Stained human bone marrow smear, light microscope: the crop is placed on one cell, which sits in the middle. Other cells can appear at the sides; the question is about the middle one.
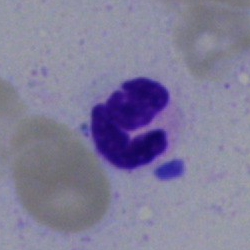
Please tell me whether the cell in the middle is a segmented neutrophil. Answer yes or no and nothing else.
yes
